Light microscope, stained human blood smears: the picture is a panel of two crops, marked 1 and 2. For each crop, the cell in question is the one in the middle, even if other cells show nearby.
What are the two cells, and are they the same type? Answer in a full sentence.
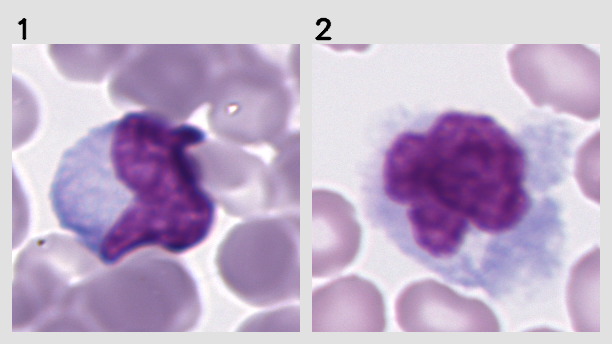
No, crop 1 shows a typical lymphocyte and crop 2 a hairy cell.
